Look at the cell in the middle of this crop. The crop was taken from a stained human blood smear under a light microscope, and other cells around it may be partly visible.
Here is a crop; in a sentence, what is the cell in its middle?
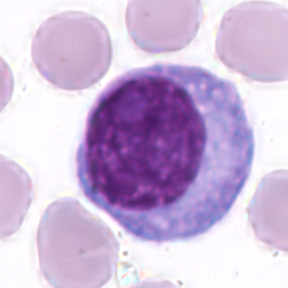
On this slide crop, the central cell is a plasma cell.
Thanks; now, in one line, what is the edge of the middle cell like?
Expected answer: a smooth cell outline without projections of any sort.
